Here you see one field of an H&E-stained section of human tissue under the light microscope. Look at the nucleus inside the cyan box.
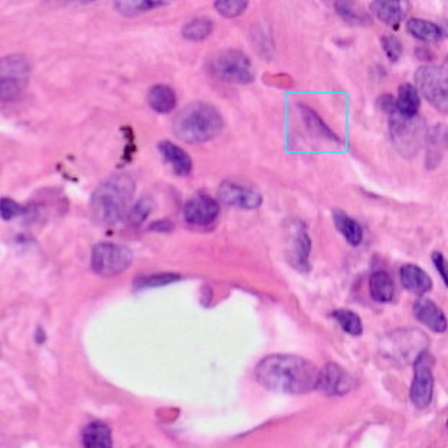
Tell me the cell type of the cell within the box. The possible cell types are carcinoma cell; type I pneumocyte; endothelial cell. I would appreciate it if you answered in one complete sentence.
In terms of identity, the cell within the box is an endothelial cell.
